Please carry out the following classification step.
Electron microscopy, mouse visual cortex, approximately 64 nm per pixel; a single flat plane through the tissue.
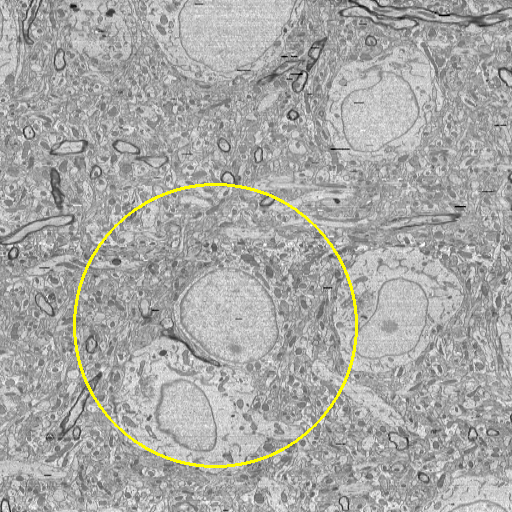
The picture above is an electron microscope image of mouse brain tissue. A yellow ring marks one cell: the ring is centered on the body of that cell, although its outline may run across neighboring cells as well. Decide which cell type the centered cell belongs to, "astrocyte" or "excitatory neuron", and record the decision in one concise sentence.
The cell centered in the yellow ring is an astrocyte.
